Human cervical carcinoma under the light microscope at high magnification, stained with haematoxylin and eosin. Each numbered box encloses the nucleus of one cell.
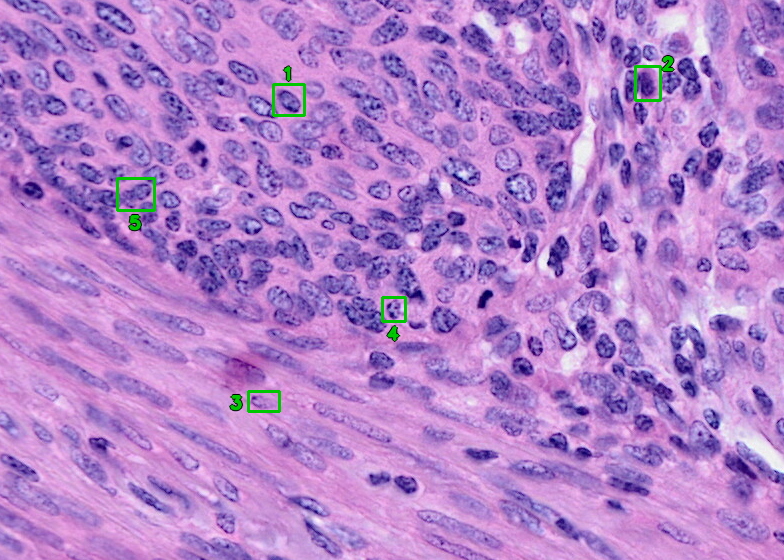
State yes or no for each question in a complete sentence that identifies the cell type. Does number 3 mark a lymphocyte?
No, cell 3 is to be read as a smooth muscle cell, not a lymphocyte.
